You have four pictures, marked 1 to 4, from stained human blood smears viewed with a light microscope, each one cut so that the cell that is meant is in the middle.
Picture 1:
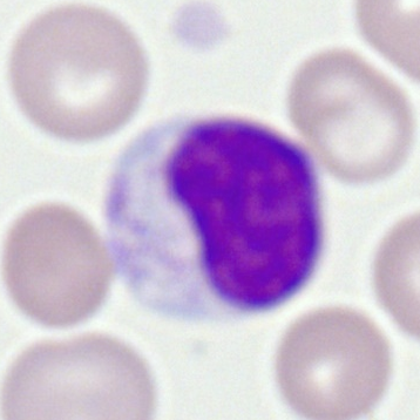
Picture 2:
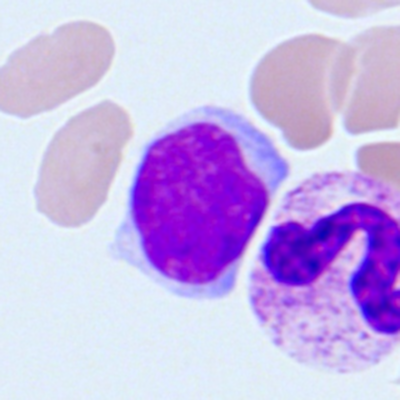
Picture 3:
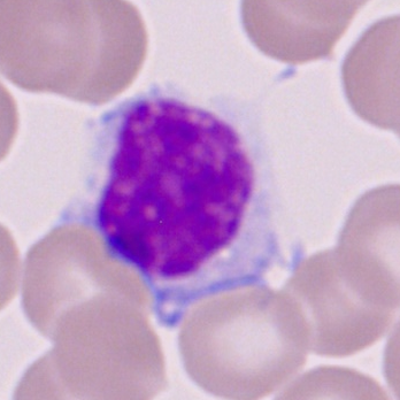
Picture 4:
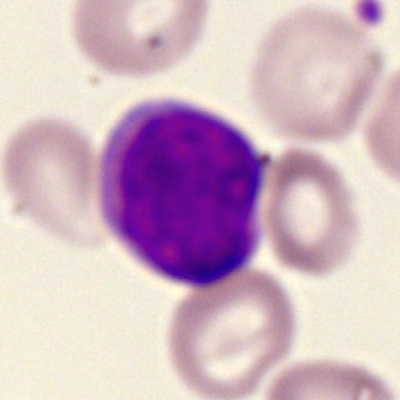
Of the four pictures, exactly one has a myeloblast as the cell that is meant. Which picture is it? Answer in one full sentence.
Picture 4 shows the myeloblast.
